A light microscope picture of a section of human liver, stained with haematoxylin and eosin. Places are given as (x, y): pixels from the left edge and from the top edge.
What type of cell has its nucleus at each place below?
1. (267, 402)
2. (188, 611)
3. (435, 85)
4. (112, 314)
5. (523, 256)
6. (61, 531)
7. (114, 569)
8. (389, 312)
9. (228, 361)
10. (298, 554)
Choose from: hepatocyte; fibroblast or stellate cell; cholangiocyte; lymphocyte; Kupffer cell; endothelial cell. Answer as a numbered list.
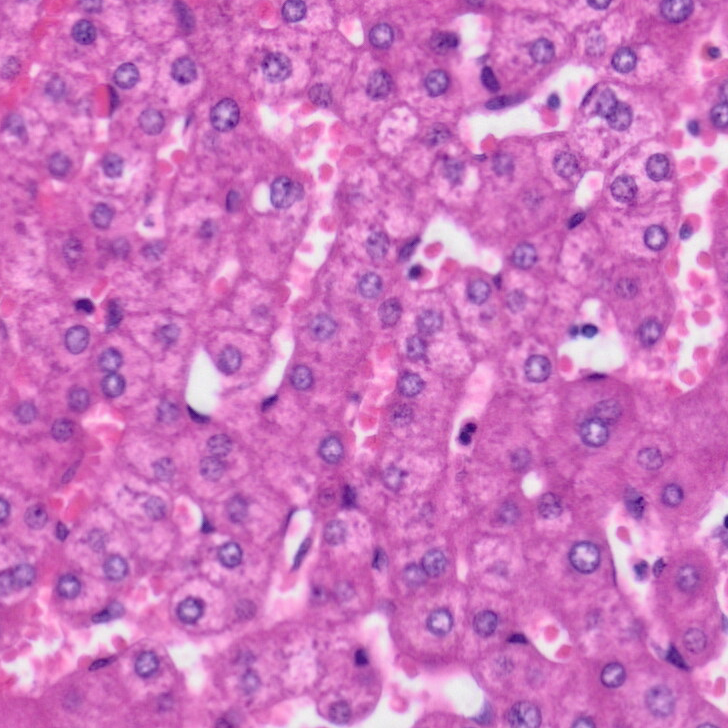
1. fibroblast or stellate cell
2. hepatocyte
3. hepatocyte
4. endothelial cell
5. hepatocyte
6. fibroblast or stellate cell
7. hepatocyte
8. hepatocyte
9. hepatocyte
10. Kupffer cell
